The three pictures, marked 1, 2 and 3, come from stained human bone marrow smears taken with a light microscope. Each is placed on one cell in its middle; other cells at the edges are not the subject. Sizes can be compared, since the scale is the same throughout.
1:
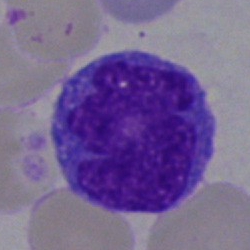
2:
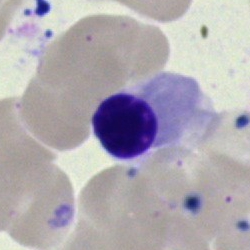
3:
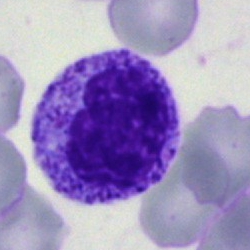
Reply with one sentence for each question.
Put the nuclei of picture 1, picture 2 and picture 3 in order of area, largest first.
From the largest down, the order is 1, 3, 2.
